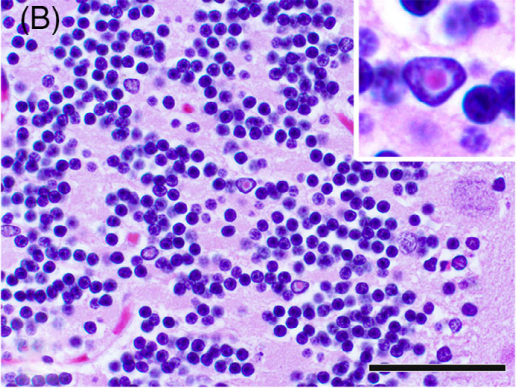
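Cerebellar granular layer with densely packed small granule cells at high power. The granule cell nuclei are small, round and dark purple with scant cytoplasm, arranged in clusters around pale pink acellular islands. Scattered among them are some slightly larger, paler nuclei that hold a round bright pink body. The inset shows one such nucleus with a central eosinophilic body surrounded by a clear rim inside the nuclear membrane. Red blood cells lie in small vessels between the clusters.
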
